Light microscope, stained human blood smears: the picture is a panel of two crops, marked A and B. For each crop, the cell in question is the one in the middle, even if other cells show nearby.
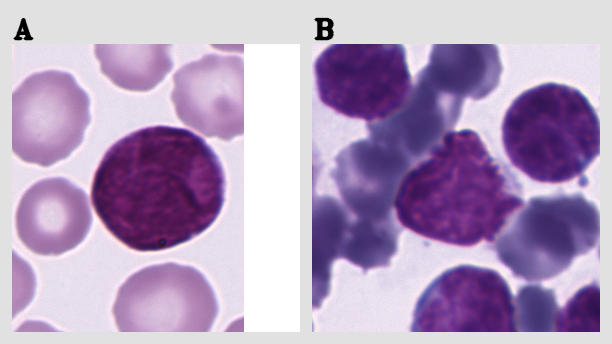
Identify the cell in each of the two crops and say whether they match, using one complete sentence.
Yes, the cells at the centre of both crops are myeloblasts.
